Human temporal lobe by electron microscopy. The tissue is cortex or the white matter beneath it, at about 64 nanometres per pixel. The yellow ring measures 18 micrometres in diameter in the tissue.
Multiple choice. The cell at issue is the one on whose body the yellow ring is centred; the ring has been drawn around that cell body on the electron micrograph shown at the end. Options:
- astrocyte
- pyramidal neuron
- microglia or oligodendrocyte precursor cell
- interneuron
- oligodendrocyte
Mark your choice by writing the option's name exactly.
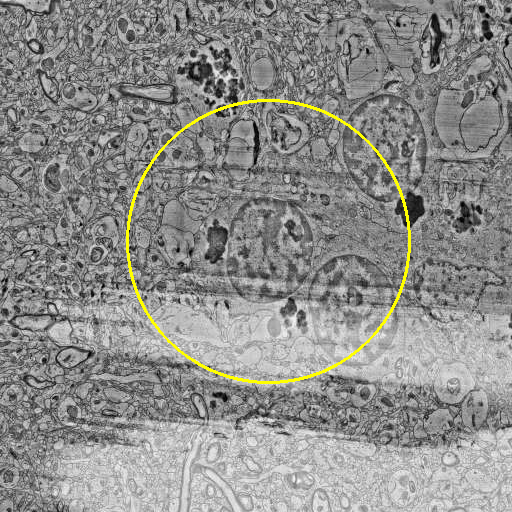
oligodendrocyte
